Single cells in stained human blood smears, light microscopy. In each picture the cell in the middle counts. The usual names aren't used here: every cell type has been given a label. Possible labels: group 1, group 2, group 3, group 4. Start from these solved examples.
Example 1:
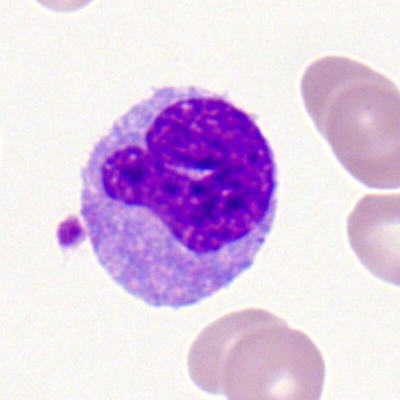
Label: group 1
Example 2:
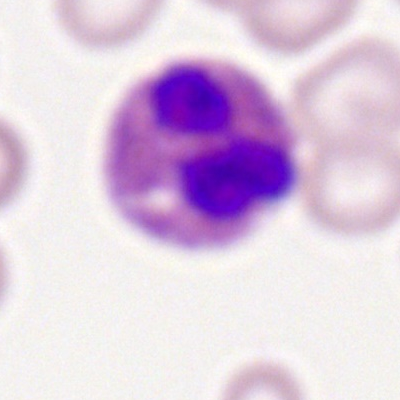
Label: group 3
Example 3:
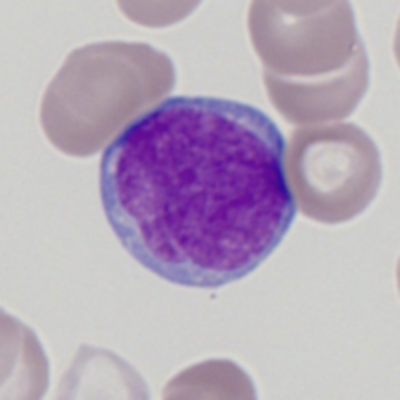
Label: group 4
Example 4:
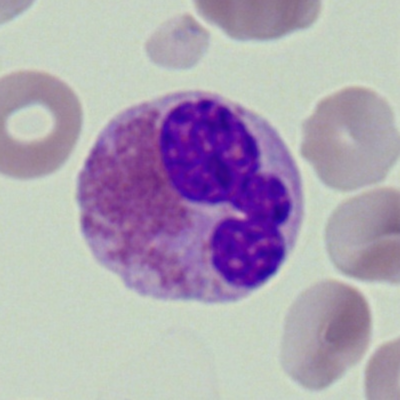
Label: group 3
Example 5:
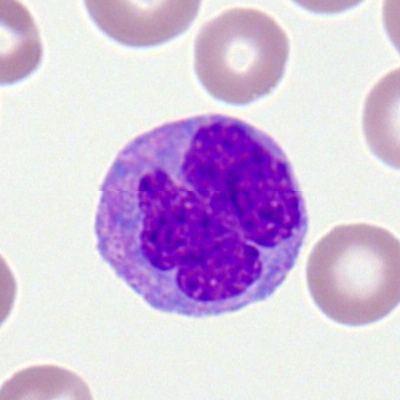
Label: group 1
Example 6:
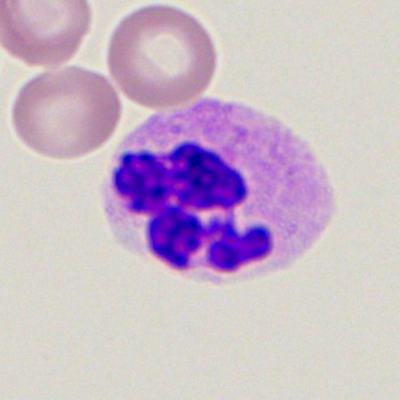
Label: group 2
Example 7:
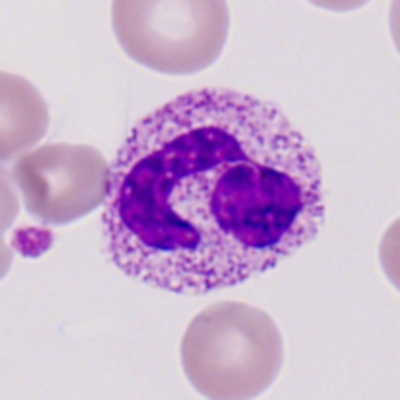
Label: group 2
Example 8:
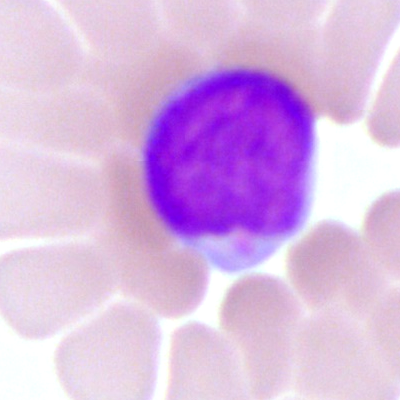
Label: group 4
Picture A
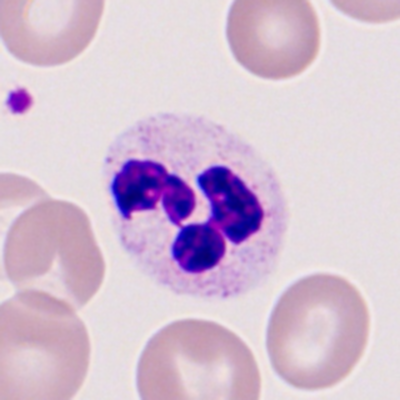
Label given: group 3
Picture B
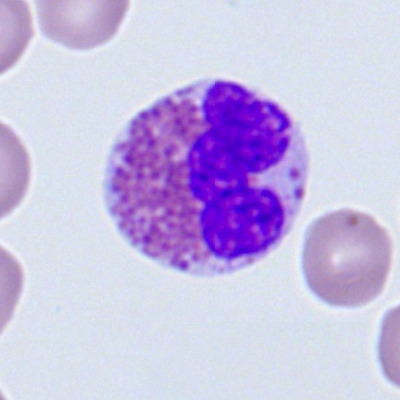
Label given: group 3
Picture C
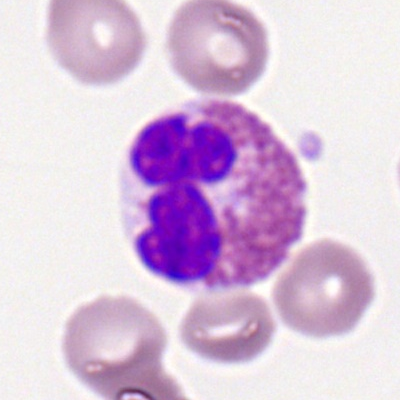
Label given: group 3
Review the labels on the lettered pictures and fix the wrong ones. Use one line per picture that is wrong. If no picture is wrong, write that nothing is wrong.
A is labelled group 3; correct label: group 2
